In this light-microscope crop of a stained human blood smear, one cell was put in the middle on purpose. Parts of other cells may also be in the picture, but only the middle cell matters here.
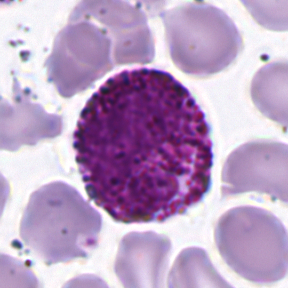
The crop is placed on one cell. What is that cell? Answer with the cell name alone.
basophil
